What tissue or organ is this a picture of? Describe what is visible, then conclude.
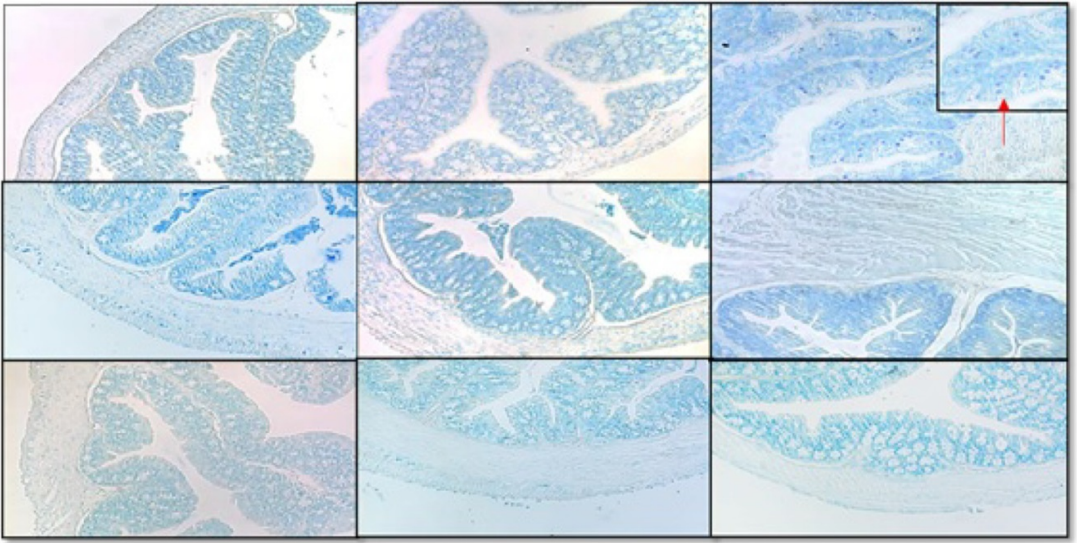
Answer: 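Cross-sections of gut wall with mucosa thrown into folds around a central lumen. Mucosa made of closely packed tubular glands rich in pale goblet-like cells. A thin outer muscular layer surrounds the mucosa.
Conclusion: colon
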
